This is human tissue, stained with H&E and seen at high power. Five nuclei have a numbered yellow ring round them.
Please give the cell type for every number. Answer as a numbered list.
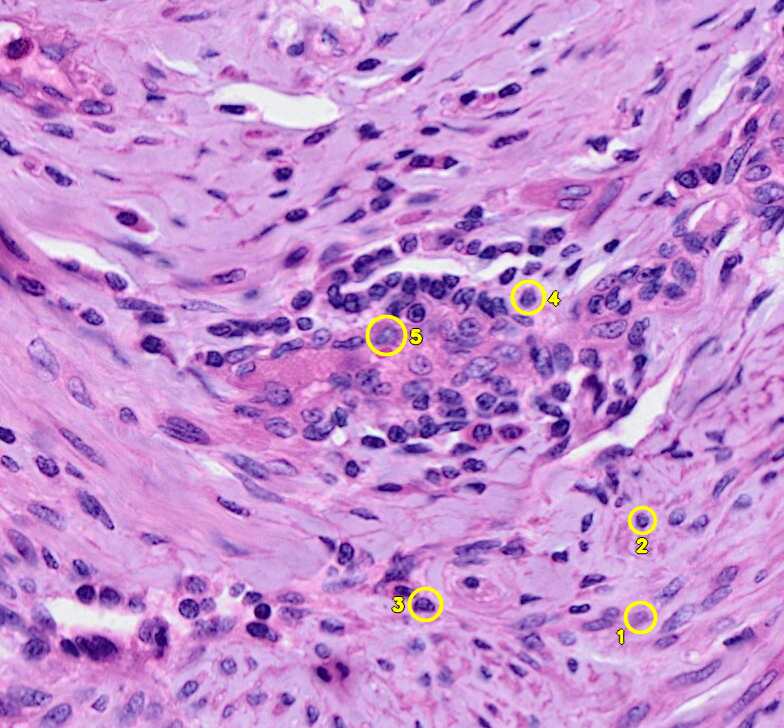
1. smooth muscle cell
2. smooth muscle cell
3. lymphocyte
4. lymphocyte
5. endothelial cell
